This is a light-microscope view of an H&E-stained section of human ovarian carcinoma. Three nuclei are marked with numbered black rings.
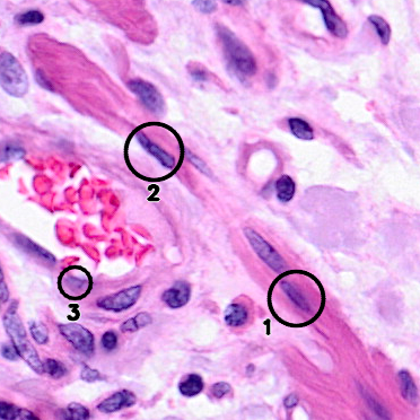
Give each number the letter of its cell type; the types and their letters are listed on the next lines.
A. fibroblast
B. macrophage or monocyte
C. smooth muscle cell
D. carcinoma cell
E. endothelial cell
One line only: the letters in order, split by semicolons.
C; C; E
